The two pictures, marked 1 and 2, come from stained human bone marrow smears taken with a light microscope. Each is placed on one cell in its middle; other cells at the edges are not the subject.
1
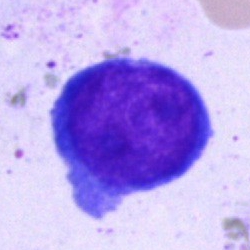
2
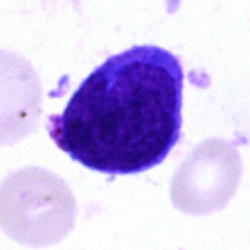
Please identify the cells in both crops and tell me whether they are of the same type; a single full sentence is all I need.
Yes, both crops show blasts, one in each.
